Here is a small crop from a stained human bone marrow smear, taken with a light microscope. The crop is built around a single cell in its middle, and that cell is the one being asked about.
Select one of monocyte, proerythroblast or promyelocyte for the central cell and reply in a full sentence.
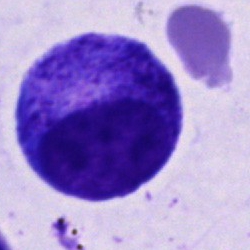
The cell under consideration, at the middle of the crop, is a promyelocyte.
